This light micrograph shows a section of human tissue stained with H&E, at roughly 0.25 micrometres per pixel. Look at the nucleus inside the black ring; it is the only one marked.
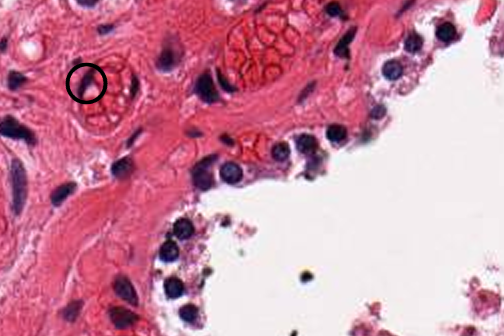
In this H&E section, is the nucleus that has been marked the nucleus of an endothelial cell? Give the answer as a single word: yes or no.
yes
